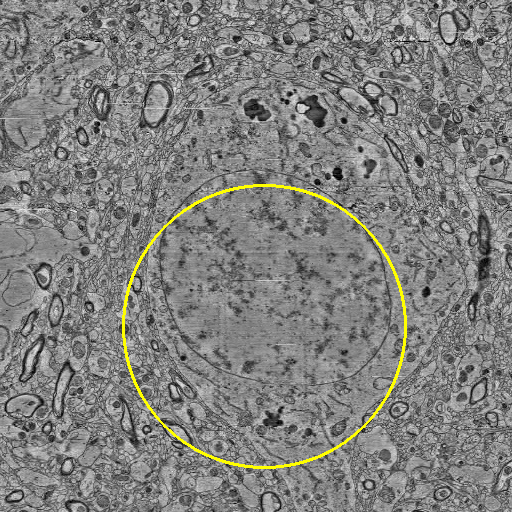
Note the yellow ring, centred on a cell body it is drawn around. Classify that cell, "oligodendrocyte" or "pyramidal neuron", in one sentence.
The cell the ring is centred on is a pyramidal neuron.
